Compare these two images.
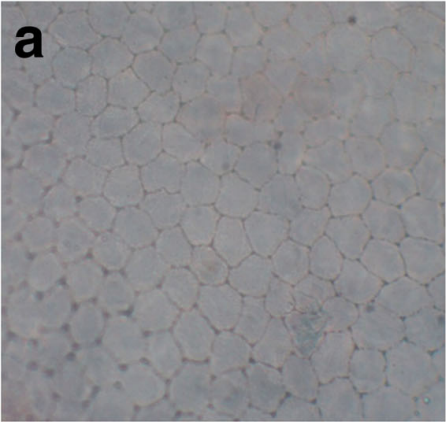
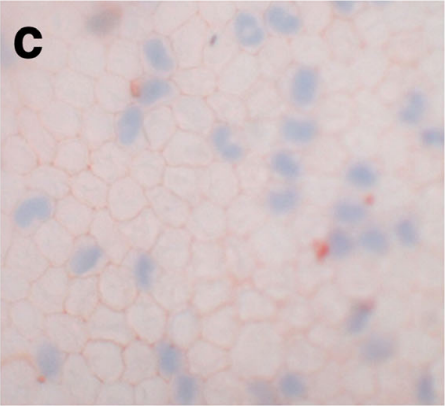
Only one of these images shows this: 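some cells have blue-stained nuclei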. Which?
The second image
